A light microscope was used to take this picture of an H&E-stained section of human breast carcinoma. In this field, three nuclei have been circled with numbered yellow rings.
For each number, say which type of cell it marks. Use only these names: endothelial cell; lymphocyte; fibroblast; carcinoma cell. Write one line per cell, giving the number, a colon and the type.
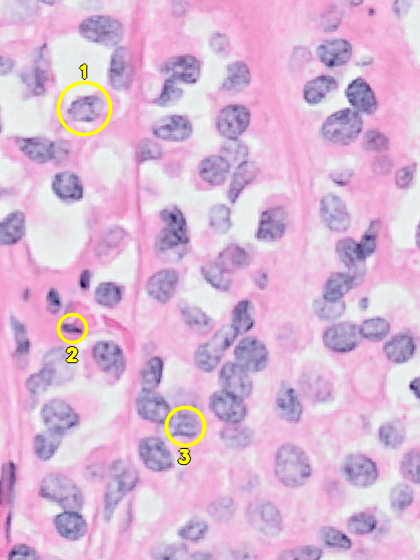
1: carcinoma cell
2: endothelial cell
3: carcinoma cell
